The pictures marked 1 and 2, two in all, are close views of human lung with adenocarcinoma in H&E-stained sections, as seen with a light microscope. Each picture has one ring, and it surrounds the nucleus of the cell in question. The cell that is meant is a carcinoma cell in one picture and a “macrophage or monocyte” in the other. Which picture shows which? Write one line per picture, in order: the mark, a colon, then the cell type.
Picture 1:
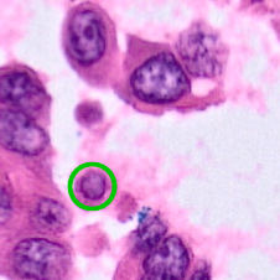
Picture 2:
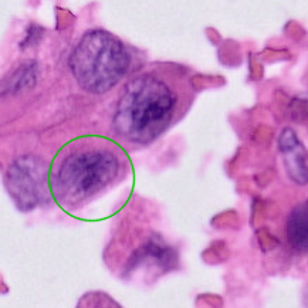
1: macrophage or monocyte
2: carcinoma cell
